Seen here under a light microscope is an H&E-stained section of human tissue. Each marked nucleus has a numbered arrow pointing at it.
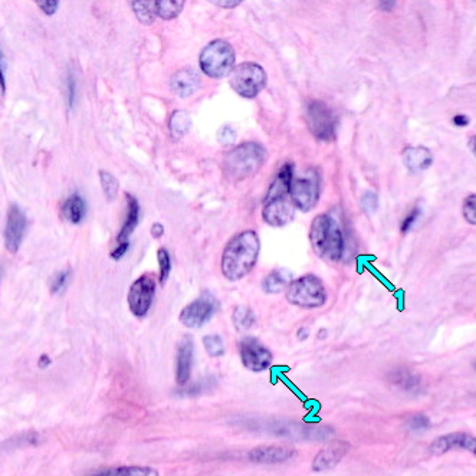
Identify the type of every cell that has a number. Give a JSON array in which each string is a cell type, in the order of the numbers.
["endothelial cell", "lymphocyte"]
